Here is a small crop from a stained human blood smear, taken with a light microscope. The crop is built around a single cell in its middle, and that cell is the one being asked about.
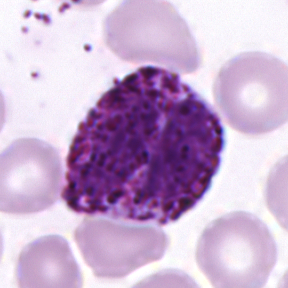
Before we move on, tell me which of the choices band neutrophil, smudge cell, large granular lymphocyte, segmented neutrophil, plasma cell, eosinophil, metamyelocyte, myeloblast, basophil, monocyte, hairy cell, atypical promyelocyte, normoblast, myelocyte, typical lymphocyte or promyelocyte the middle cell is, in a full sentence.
For this crop, the central cell is a basophil.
